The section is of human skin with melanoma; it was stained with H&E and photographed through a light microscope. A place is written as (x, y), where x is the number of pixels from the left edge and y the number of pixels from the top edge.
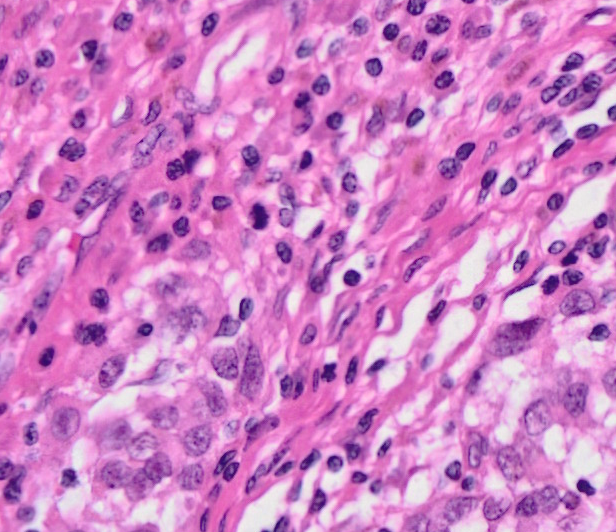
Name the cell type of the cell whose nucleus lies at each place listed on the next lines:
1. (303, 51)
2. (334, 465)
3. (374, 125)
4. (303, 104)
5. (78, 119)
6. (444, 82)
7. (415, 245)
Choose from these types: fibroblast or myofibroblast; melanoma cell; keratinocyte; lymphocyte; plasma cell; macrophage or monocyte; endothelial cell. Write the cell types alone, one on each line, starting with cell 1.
lymphocyte
lymphocyte
macrophage or monocyte
plasma cell
plasma cell
plasma cell
fibroblast or myofibroblast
